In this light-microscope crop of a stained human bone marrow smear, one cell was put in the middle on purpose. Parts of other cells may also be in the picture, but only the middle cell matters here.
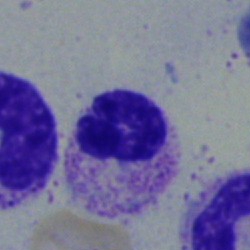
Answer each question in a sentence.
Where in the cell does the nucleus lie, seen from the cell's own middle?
The nucleus is pushed toward the top of the cell.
